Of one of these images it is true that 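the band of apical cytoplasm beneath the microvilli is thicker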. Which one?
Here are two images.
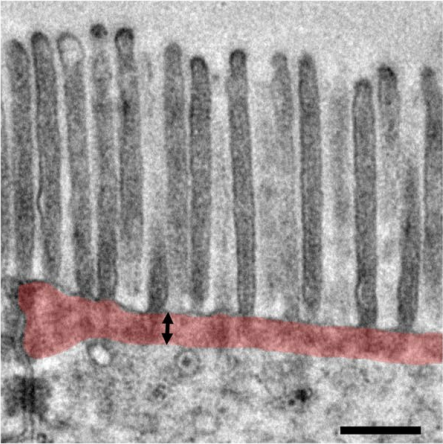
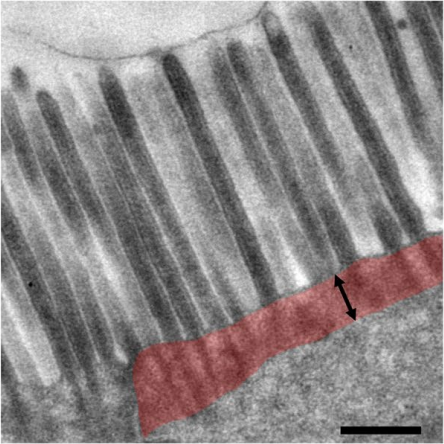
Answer: The second image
